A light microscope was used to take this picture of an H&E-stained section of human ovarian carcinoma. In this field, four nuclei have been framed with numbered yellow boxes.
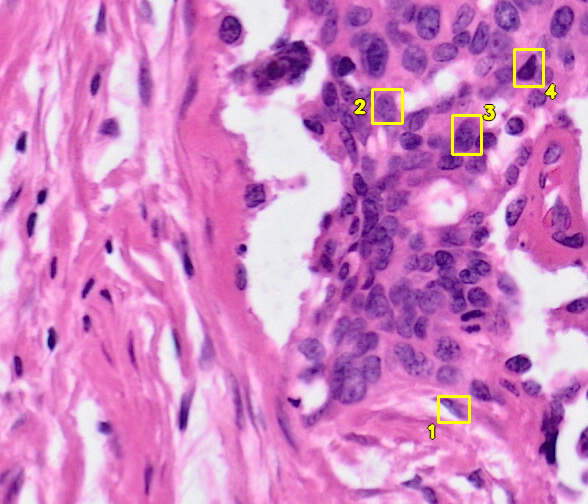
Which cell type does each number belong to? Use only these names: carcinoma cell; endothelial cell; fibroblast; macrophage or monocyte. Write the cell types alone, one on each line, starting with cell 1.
fibroblast
carcinoma cell
carcinoma cell
carcinoma cell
